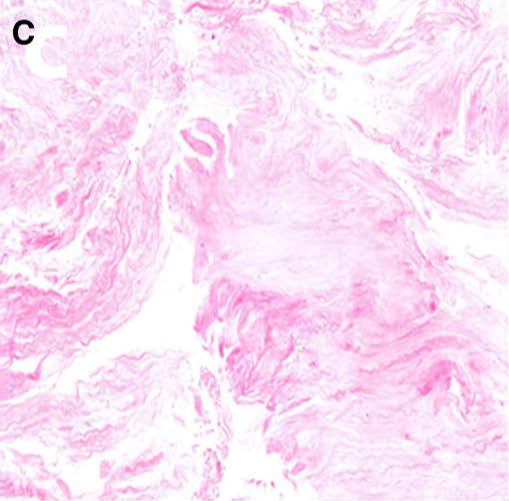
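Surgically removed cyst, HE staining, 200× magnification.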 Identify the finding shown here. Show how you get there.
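Areas of smooth, homogeneous, glassy pale pink material. Very few nuclei within the pink material. On this evidence: hyaline change of local fibrous tissue.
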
